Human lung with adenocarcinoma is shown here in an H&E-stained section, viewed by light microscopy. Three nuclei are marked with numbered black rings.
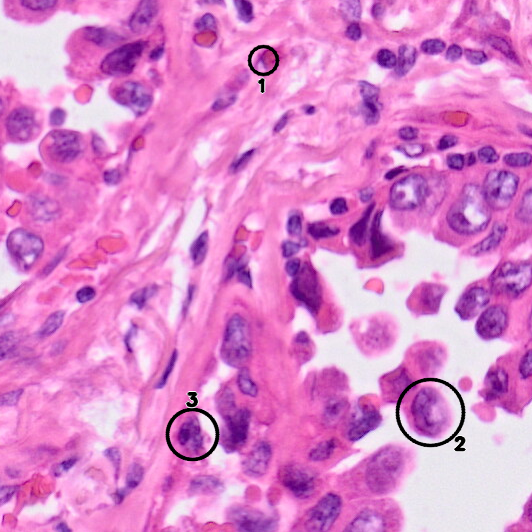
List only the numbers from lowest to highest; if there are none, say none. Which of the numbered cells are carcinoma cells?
2, 3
